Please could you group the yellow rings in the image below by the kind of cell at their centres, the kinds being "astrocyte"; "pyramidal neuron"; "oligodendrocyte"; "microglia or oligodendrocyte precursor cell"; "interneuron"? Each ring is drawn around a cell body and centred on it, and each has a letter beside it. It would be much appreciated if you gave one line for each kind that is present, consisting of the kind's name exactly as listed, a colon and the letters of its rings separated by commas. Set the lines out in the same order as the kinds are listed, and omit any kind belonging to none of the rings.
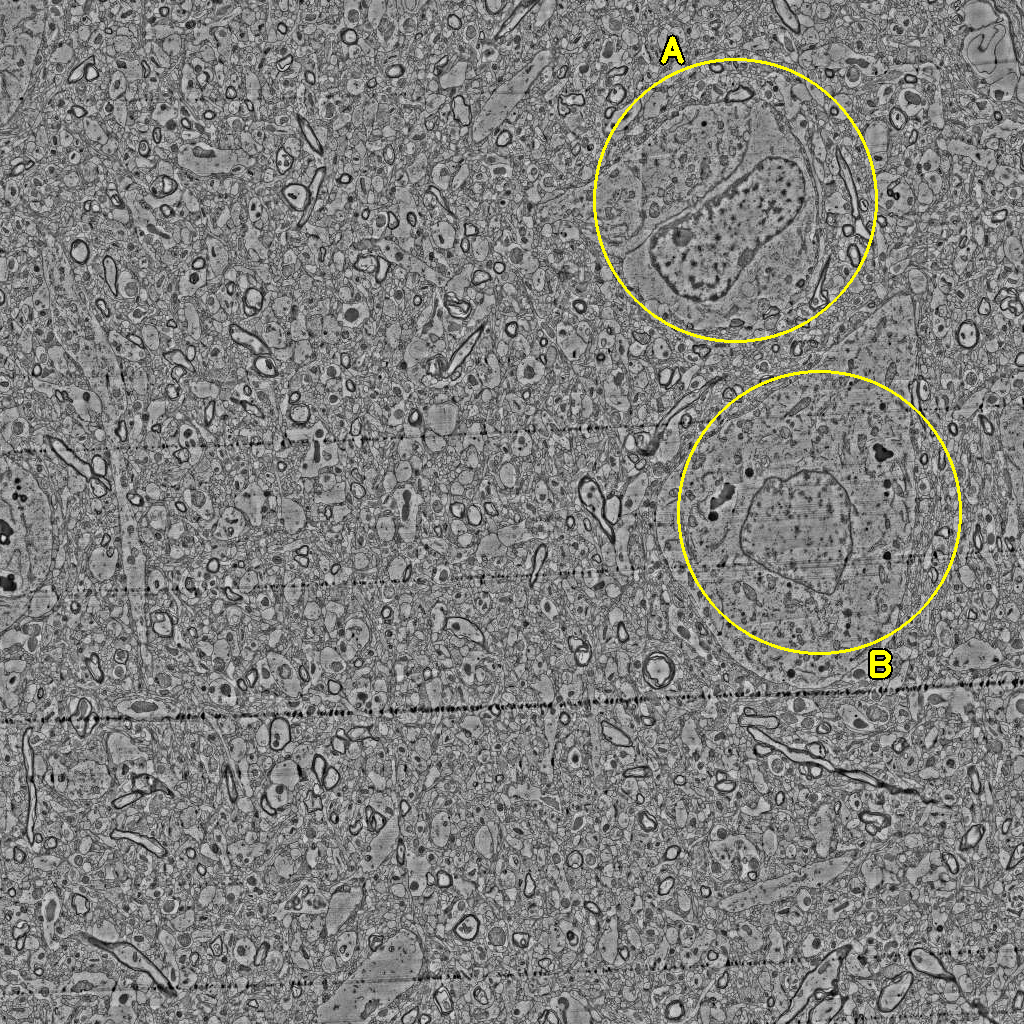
pyramidal neuron: B
microglia or oligodendrocyte precursor cell: A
